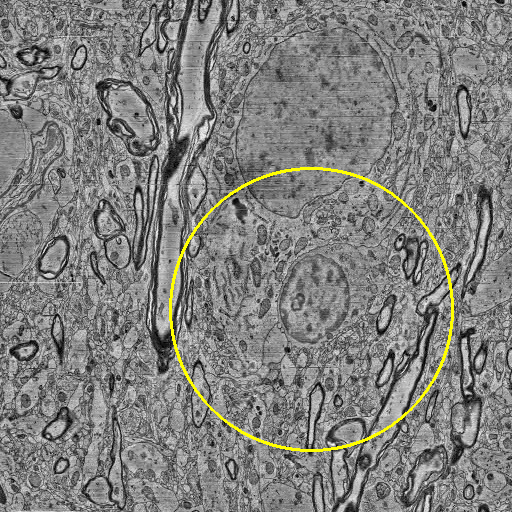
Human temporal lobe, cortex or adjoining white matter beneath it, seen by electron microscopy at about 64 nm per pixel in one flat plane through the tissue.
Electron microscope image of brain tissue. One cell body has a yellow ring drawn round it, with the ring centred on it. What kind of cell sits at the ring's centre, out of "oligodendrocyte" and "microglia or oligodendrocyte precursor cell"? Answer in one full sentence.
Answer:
It is an oligodendrocyte whose cell body sits at the centre of the yellow ring.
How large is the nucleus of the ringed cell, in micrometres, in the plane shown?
About 6 by 4 micrometers for the nucleus, in this plane.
